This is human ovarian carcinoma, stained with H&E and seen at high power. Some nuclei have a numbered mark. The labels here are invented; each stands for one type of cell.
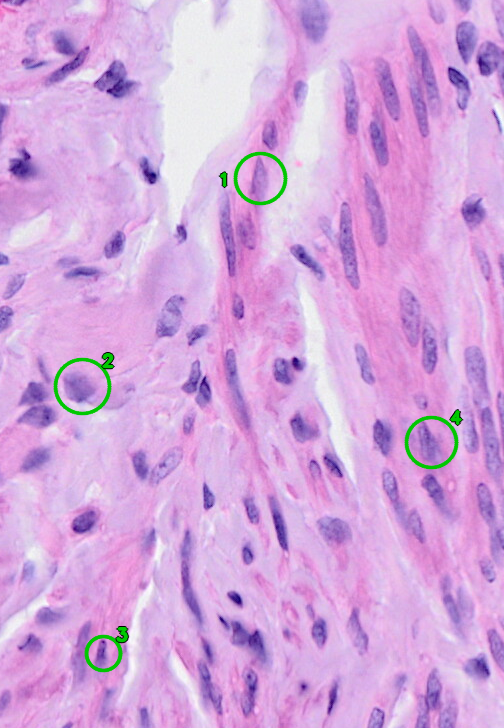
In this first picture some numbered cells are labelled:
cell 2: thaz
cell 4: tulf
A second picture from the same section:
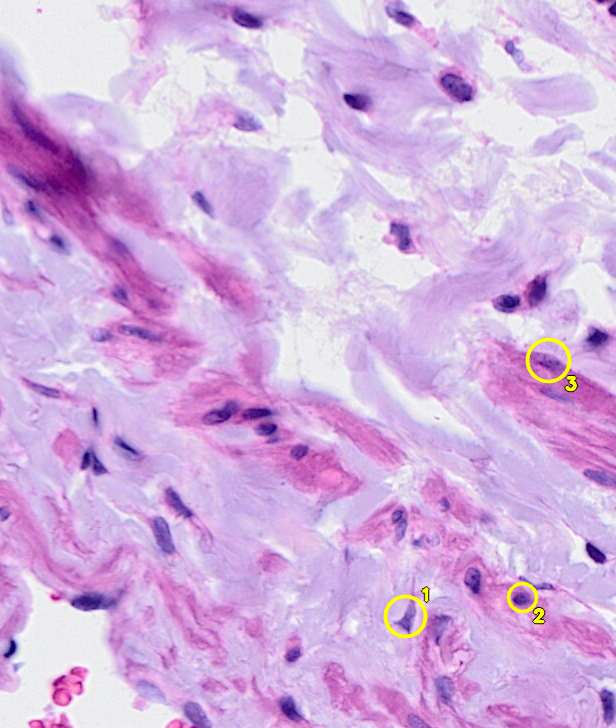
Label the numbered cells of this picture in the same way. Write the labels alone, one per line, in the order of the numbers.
thaz
tulf
tulf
